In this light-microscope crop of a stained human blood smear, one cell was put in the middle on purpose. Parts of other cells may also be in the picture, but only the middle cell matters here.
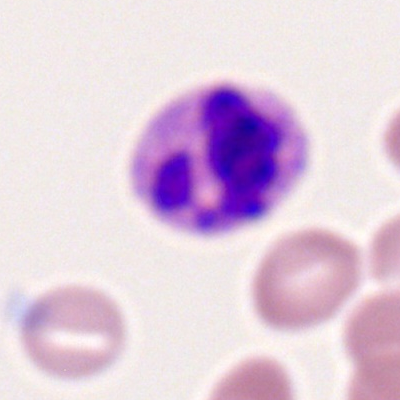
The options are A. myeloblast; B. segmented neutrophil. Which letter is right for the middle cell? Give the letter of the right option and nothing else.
B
